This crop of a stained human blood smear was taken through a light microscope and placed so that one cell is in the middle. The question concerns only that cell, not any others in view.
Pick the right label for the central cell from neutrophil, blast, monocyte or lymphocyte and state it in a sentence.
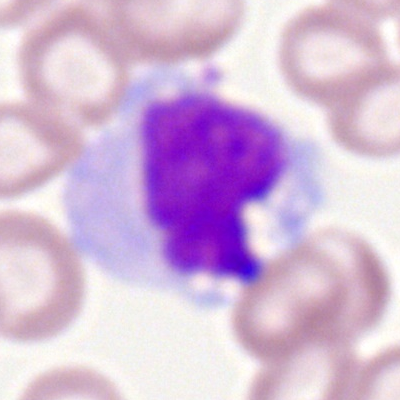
Within this crop, a monocyte occupies the central position.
